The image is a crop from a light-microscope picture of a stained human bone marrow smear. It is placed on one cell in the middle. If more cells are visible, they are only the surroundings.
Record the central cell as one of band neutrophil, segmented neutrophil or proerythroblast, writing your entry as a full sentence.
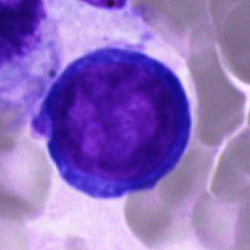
The middle position in this crop is taken by a proerythroblast.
